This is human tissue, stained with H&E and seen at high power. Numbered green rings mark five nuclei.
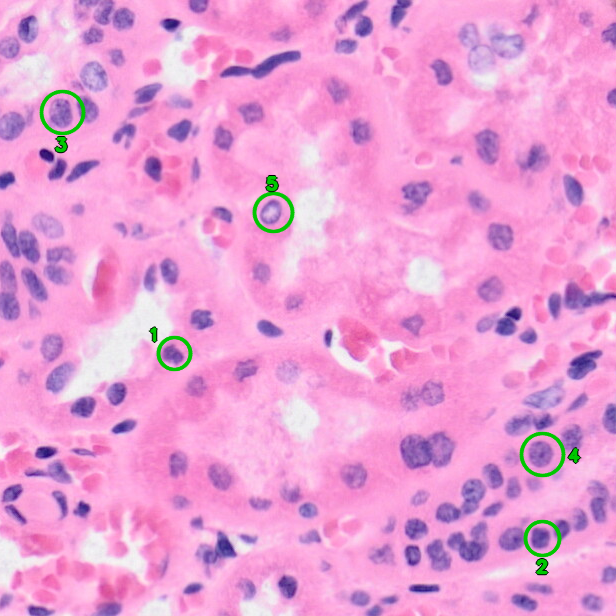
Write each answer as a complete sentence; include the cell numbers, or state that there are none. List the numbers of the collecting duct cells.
Cells 2, 3 and 4 in the section are typed as collecting duct cells.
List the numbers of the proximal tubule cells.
Response: cell 5 is a proximal tubule cell, and no other numbered cell is.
